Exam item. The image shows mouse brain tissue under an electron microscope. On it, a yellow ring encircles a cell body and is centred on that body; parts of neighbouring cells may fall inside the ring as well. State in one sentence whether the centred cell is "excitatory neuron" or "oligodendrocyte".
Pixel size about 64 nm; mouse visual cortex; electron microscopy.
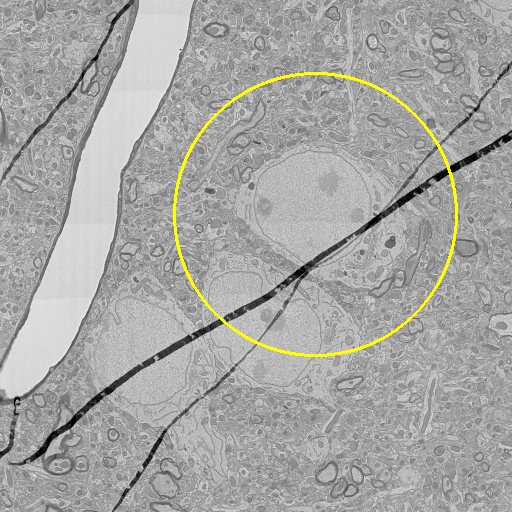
The cell body centred in the ring is an excitatory neuron.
